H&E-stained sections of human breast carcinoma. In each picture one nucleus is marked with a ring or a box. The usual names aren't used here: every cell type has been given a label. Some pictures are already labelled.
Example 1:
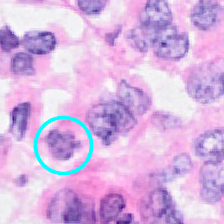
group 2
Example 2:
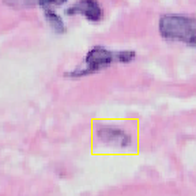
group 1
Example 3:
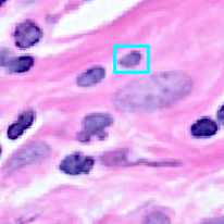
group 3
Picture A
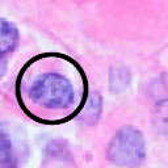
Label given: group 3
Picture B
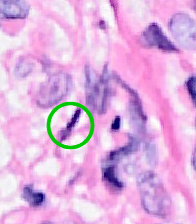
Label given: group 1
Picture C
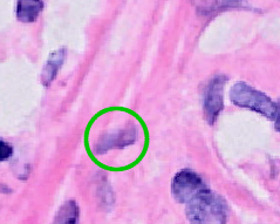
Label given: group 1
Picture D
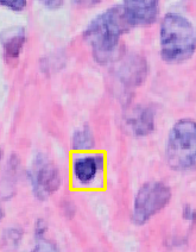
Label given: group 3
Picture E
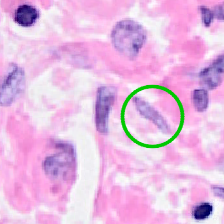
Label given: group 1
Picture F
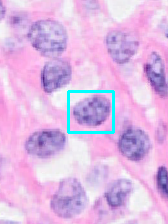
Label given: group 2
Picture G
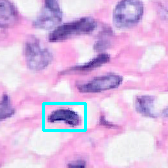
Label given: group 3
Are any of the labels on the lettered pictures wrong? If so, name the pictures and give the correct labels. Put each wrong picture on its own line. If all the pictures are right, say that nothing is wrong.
Wrong: A (group 3); correct: group 2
